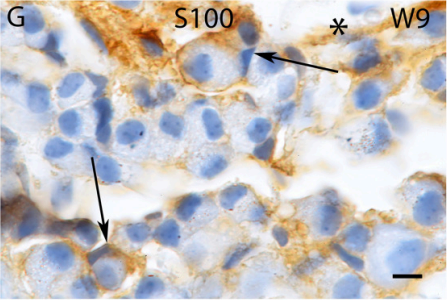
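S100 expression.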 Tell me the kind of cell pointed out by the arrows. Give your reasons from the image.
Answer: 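The arrows point to small flattened cells closely applied to the surface of large round cell bodies. These small cells have thin brown-stained cytoplasm and dark elongated nuclei. On this evidence: satellite glial cells.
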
